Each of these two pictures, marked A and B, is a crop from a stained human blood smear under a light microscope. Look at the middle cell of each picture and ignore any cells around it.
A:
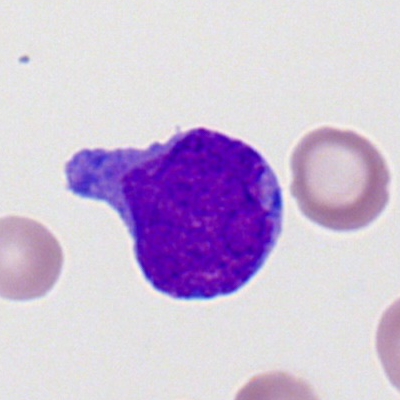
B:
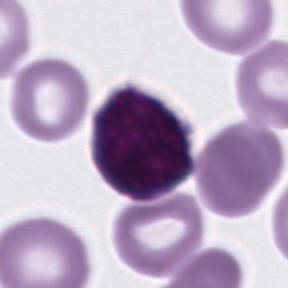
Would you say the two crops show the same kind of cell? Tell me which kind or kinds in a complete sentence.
Yes, the two crops are alike in showing blasts.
